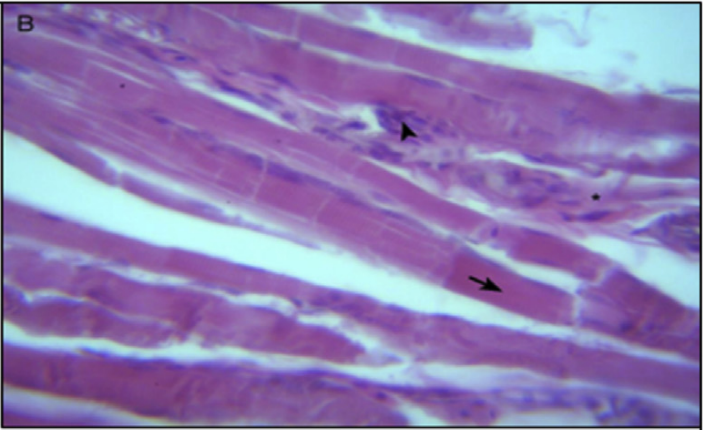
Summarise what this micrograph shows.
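This is longitudinally sectioned skeletal muscle with damaged myofibers. The fibers stain pink, but many are separated by widened pale spaces and are broken into short segments by transverse breaks. Between the fibers in the upper part lies a cluster of small, dark purple nuclei, an inflammatory infiltrate in the endomysium. Toward the right, some fibers are paler, frayed and disorganized with scattered nuclei, in keeping with degeneration. Elongated dark nuclei are also seen along the edges of the remaining fibers.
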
